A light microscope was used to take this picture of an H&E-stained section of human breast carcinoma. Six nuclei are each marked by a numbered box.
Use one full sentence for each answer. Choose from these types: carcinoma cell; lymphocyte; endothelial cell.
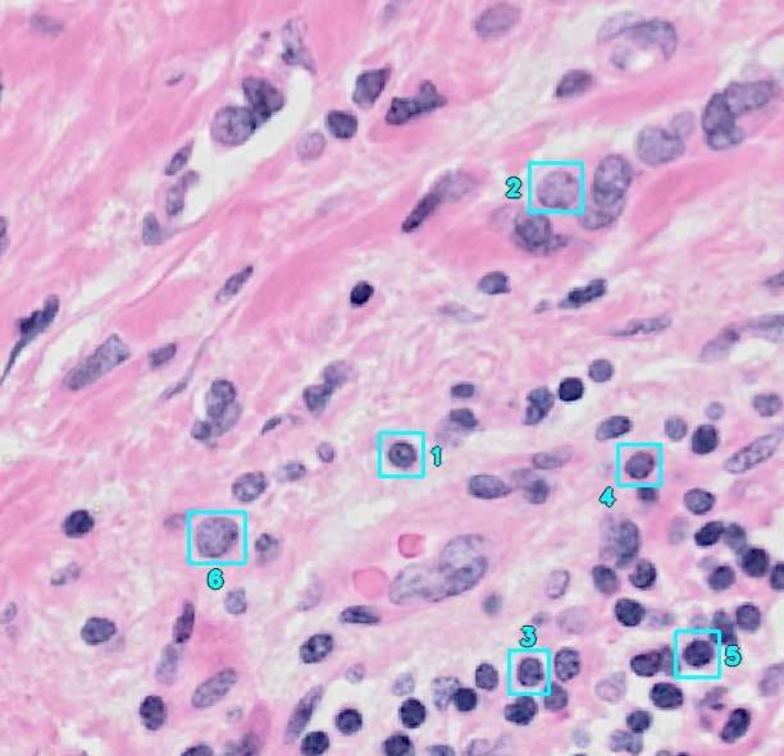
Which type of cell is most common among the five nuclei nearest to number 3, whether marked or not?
Of the five nuclei nearest to number 3, most belong to lymphocytes.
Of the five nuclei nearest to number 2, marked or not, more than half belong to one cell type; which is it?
Of the five nuclei nearest to number 2, most belong to carcinoma cells.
